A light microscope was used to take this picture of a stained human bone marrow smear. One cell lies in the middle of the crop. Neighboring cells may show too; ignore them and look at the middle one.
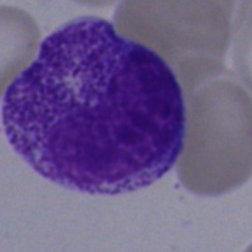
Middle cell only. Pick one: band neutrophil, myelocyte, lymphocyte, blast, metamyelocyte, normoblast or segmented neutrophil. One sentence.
Located at the centre of the crop is a metamyelocyte.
